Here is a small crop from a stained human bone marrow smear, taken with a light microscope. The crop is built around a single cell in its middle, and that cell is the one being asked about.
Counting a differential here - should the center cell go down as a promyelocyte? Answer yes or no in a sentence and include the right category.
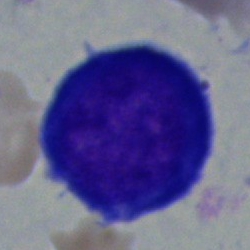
No, the central cell is not a promyelocyte; it is a proerythroblast instead.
